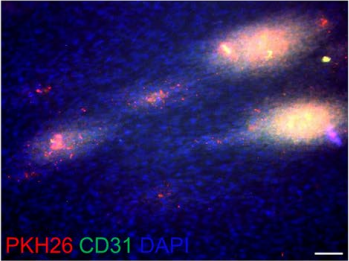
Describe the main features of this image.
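A continuous layer of densely packed blue nuclei fills the field, forming an even carpet of cells. Two large rounded aggregates in the upper right are bright where red and green overlap, giving a yellow-white appearance; a smaller, fainter aggregate lies toward the left. Green is concentrated in the aggregates and is faint elsewhere in the sheet.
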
